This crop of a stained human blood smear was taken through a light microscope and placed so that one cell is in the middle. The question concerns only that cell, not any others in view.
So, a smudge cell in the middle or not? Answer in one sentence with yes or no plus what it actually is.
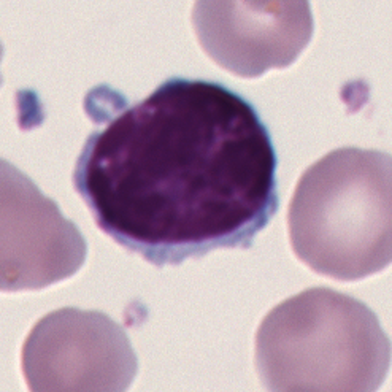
No, the cell in the middle is categorised as a typical lymphocyte, not a smudge cell.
